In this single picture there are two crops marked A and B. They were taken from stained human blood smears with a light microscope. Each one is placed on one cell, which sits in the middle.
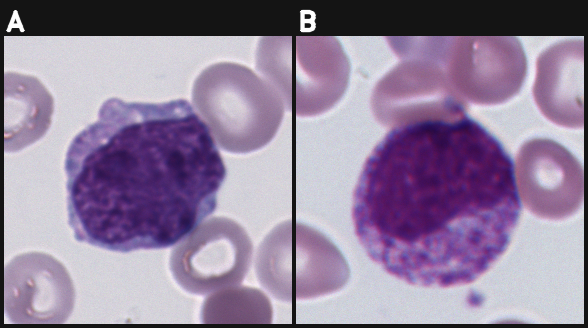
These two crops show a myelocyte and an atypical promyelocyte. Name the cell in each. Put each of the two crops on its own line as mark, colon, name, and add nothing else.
A: atypical promyelocyte
B: myelocyte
